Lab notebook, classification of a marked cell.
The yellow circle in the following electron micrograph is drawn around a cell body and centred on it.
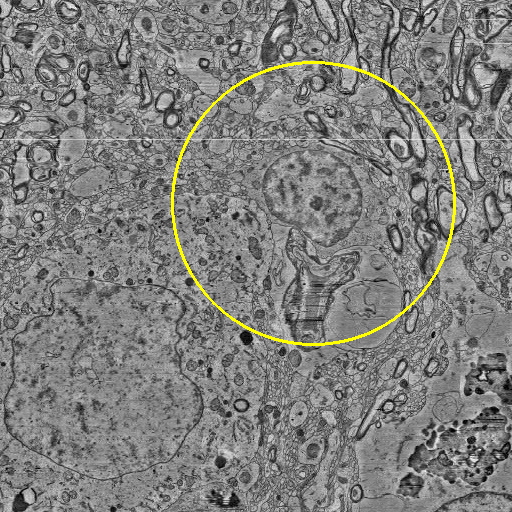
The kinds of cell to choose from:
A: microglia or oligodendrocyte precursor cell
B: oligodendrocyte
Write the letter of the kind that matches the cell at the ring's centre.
B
